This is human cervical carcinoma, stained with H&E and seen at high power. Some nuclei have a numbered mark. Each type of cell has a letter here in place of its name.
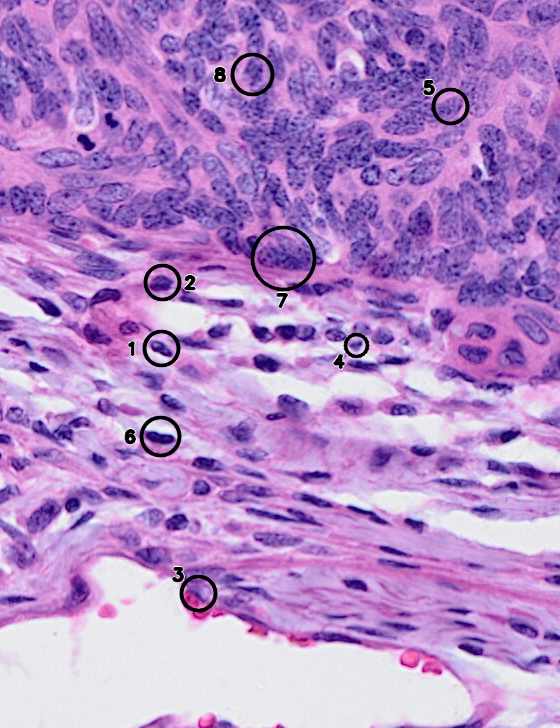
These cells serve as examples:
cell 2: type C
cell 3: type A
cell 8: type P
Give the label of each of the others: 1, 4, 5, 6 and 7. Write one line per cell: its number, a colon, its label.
1: type C
4: type C
5: type P
6: type C
7: type P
